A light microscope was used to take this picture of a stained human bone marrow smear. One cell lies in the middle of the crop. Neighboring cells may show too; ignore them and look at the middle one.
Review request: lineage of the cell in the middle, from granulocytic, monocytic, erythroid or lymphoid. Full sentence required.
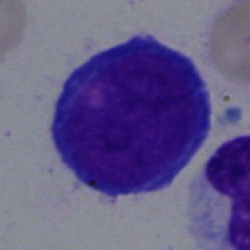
On lineage, the cell in the middle of the crop is erythroid.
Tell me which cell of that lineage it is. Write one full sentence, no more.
The cell centred in this crop is categorized as a proerythroblast.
